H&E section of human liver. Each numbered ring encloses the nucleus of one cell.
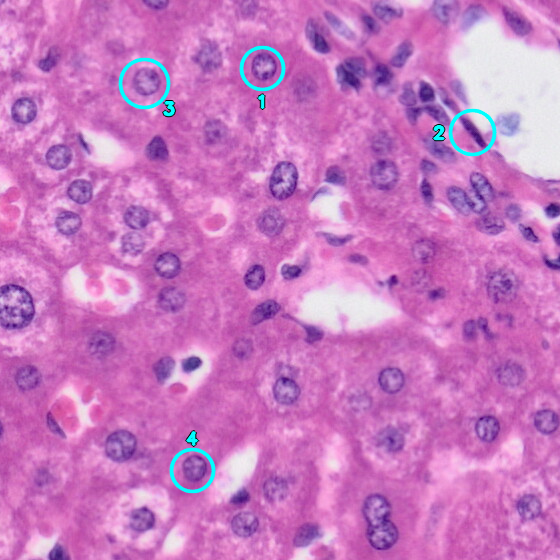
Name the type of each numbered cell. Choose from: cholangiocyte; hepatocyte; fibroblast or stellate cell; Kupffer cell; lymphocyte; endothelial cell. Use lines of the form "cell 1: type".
cell 1: hepatocyte
cell 2: fibroblast or stellate cell
cell 3: hepatocyte
cell 4: hepatocyte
